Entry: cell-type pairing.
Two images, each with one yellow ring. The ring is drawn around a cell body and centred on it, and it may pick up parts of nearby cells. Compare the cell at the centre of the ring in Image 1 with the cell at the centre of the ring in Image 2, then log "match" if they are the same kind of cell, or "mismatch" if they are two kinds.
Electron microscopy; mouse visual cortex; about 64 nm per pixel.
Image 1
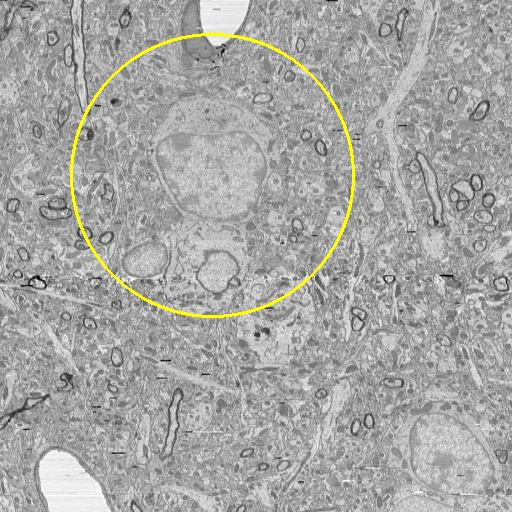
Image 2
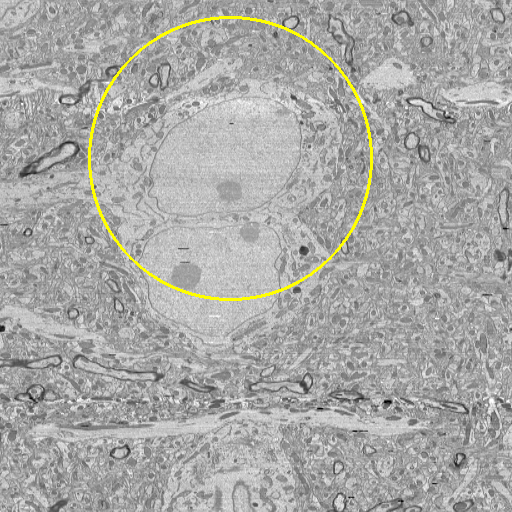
mismatch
